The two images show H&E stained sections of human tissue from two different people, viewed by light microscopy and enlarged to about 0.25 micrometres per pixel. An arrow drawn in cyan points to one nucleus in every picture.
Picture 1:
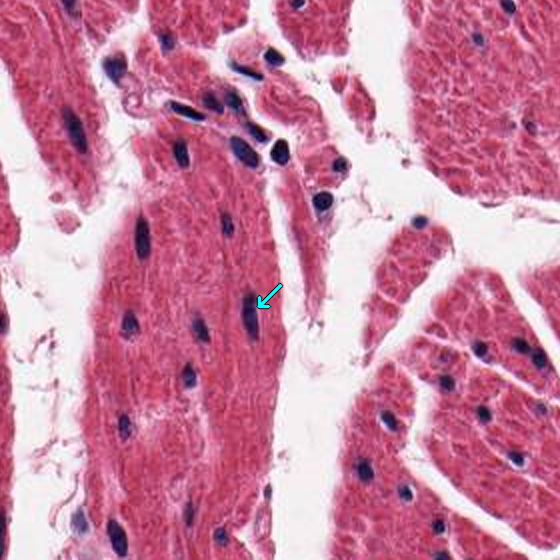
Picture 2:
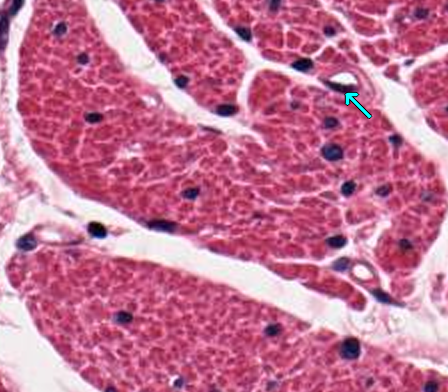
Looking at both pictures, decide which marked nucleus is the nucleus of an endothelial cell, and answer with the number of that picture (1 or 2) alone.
2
